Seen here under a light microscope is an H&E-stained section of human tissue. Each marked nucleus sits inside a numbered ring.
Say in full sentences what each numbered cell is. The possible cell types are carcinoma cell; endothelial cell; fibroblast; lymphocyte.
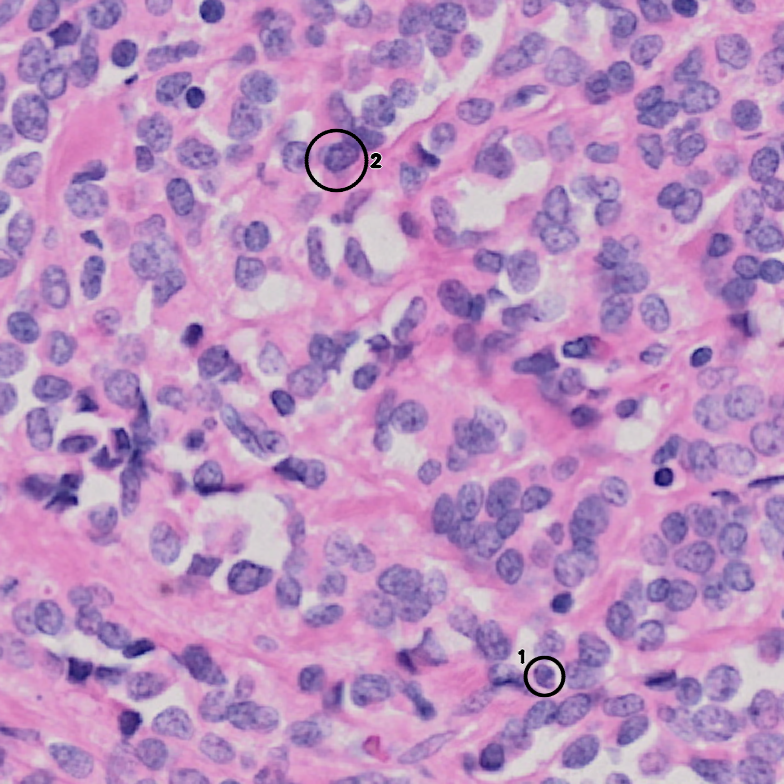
Cell 1 is a lymphocyte. Cell 2 is a carcinoma cell.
